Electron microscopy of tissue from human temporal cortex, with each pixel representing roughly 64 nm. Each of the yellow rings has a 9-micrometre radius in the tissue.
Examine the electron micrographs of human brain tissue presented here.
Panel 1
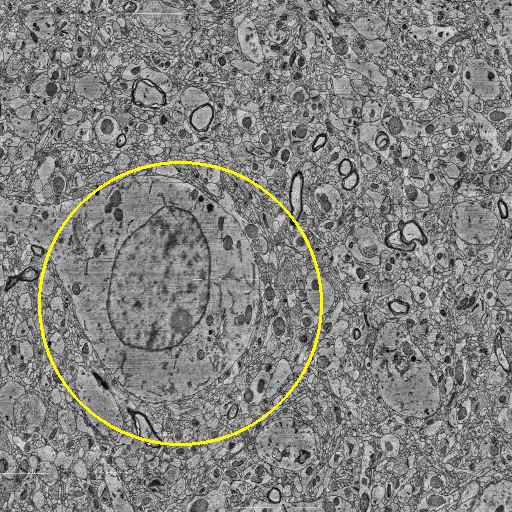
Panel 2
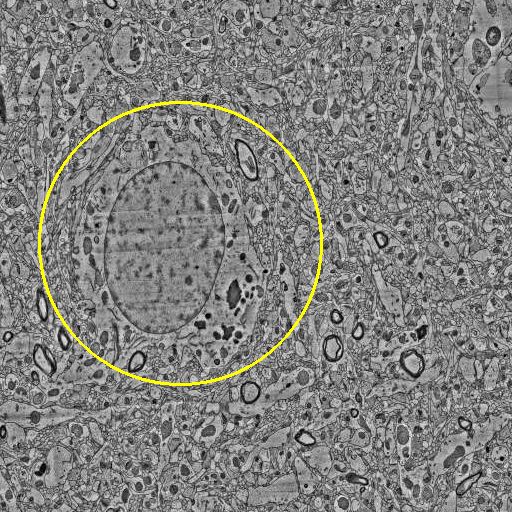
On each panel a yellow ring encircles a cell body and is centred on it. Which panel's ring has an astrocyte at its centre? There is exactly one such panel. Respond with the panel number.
2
